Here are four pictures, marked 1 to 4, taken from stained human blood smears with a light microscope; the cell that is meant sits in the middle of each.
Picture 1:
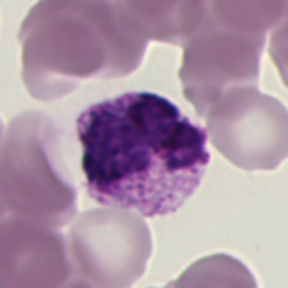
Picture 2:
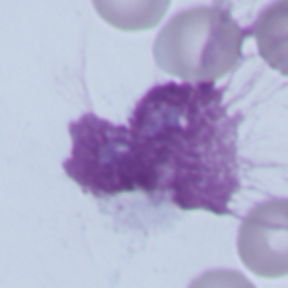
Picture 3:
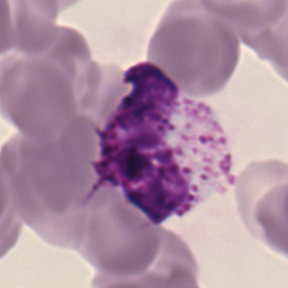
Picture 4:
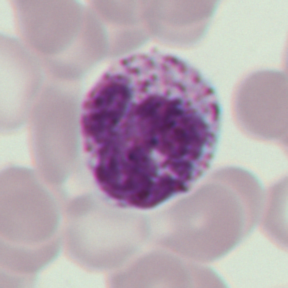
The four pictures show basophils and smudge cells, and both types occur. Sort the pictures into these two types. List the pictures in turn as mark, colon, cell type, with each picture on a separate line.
1: basophil
2: smudge cell
3: basophil
4: basophil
